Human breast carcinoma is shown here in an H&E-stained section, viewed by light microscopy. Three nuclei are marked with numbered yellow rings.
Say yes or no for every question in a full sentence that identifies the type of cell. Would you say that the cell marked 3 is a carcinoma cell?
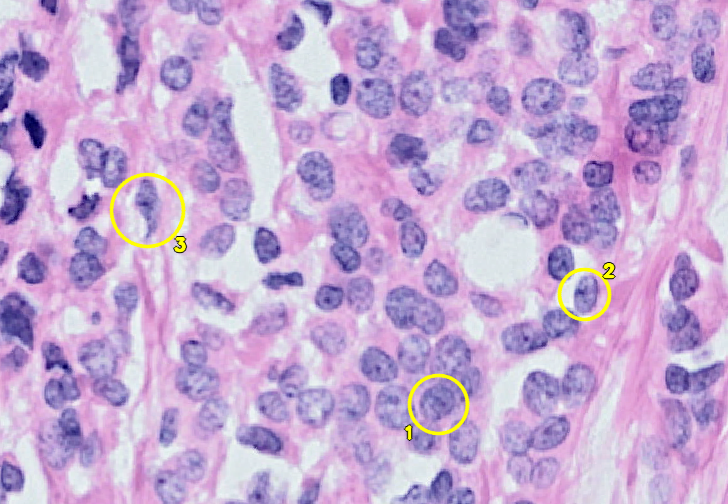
No, the cell under number 3 is a fibroblast, not a carcinoma cell.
